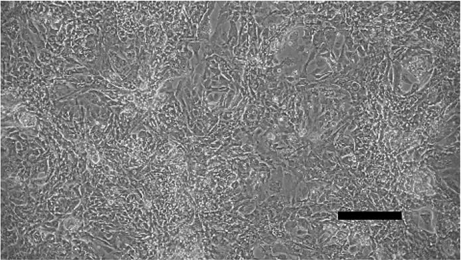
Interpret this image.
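The cells are flattened and spread, with irregular outlines. A few more compact, rounded patches lie within the sheet.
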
